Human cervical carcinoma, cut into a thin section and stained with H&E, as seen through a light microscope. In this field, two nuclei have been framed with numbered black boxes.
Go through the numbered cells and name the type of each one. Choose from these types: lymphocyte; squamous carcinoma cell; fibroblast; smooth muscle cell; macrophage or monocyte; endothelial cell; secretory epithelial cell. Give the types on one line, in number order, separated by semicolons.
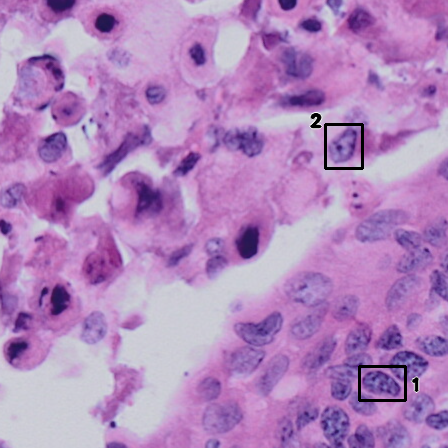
squamous carcinoma cell; macrophage or monocyte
